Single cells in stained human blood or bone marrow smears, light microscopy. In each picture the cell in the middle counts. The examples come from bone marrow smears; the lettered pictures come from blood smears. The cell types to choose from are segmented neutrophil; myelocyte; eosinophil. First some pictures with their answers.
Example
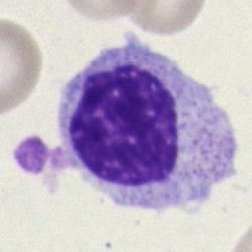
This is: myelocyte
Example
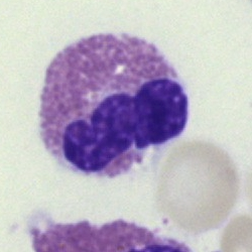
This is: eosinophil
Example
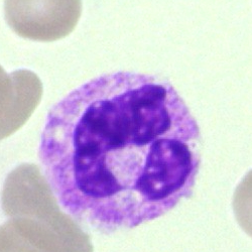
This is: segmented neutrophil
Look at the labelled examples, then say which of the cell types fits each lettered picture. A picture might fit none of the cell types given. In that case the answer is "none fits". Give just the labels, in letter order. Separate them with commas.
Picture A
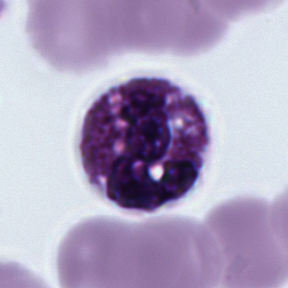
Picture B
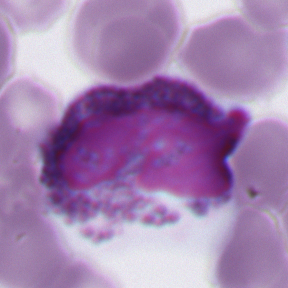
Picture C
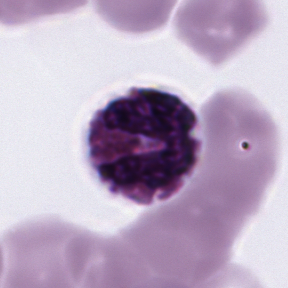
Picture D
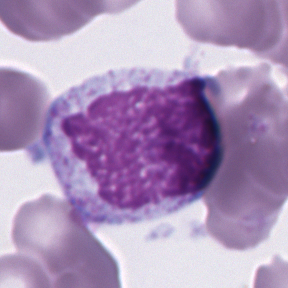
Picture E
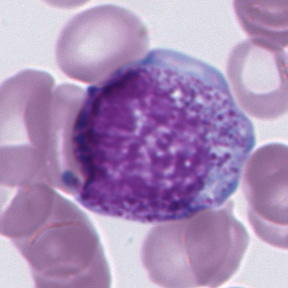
eosinophil, eosinophil, eosinophil, myelocyte, myelocyte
